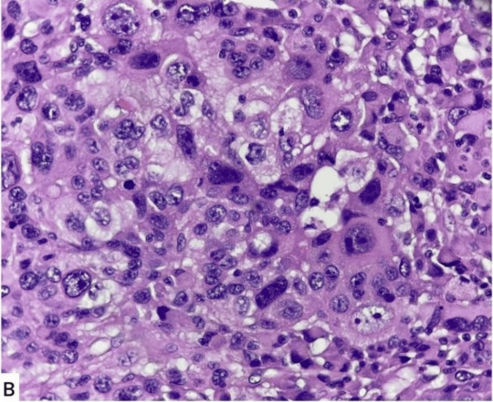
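This is a highly pleomorphic tumour at high power, with cells and nuclei of widely varying size and shape. Many nuclei are dark and hyperchromatic, while others are vesicular with prominent nucleoli. Scattered among them are bizarre, very large cells with several nuclei or huge irregular nuclei, and the cytoplasm is pink, in places pale and vacuolated.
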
